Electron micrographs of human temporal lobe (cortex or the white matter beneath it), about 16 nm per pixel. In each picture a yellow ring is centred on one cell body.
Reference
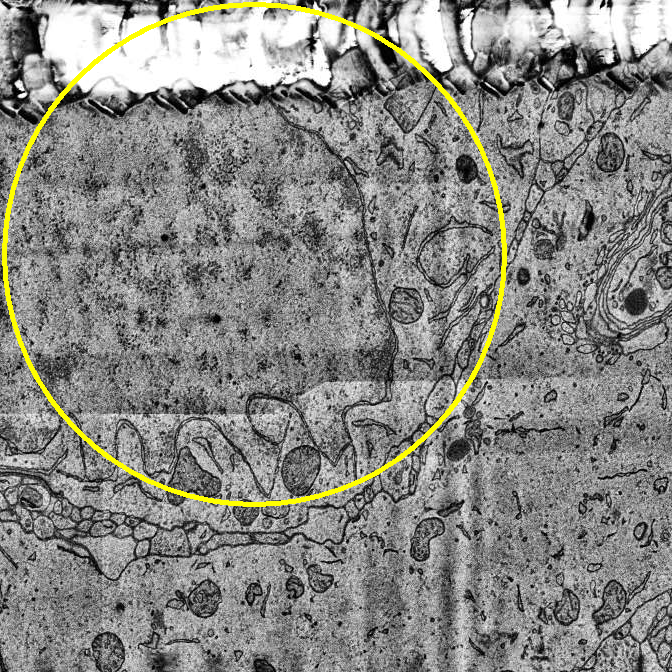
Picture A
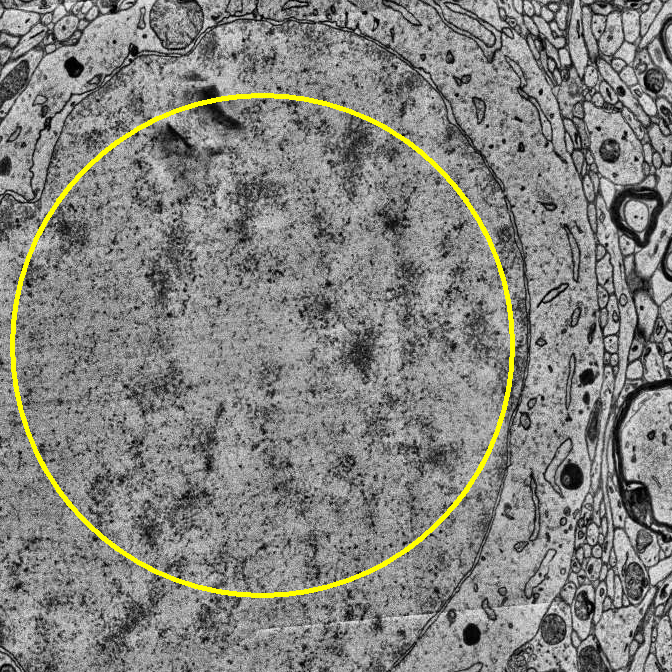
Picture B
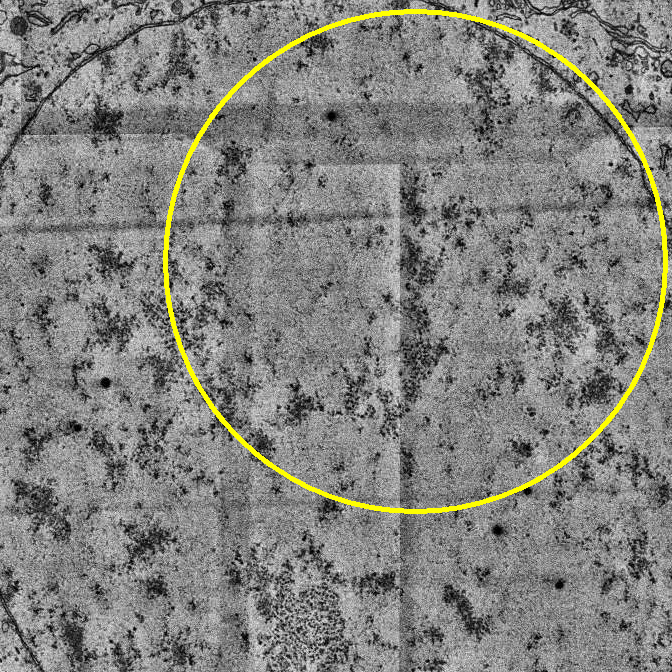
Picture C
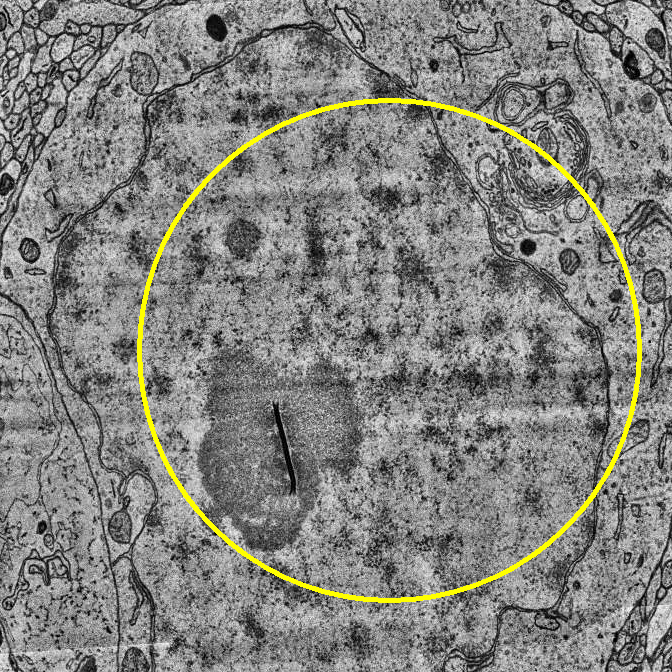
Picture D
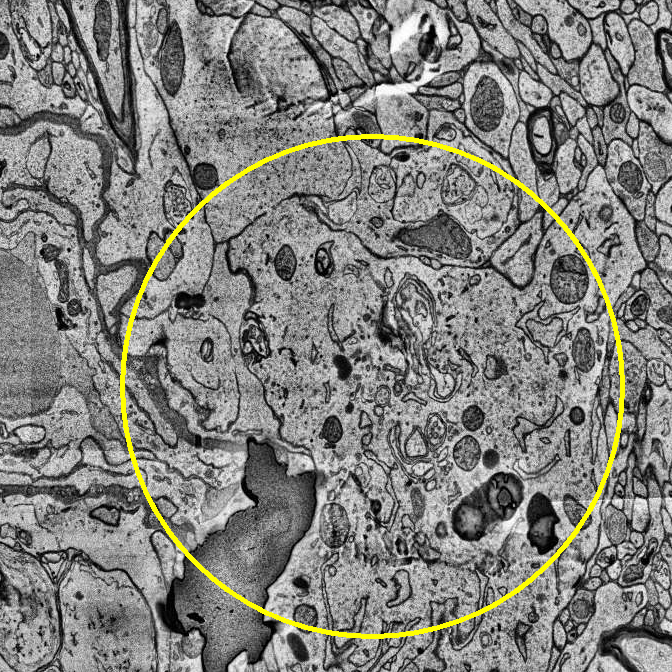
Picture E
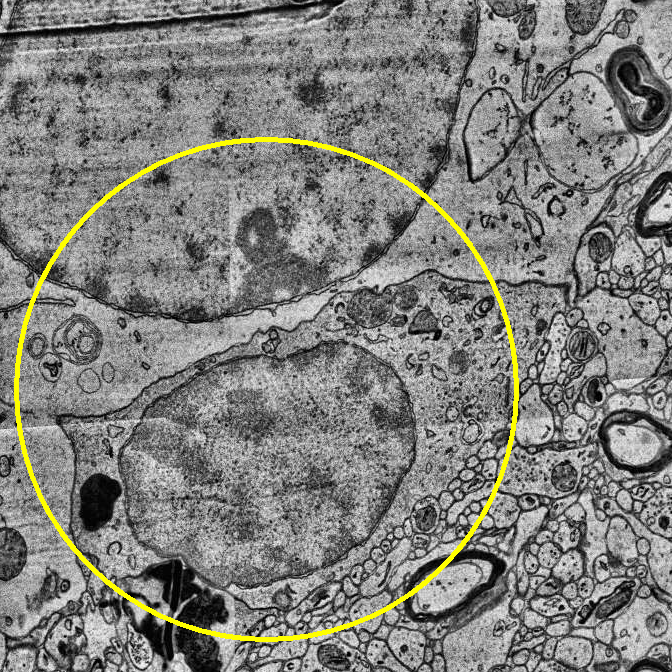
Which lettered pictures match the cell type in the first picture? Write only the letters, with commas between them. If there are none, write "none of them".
A, C, D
